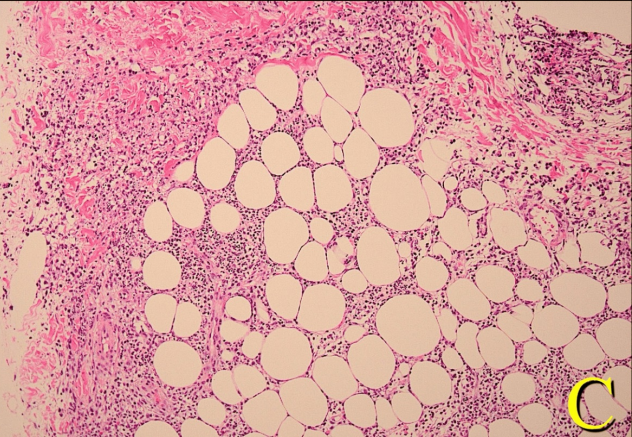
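This is subcutaneous fat with surrounding fibrous septal tissue, heavily infiltrated by inflammatory cells, a picture of septal panniculitis. Much of the field is taken up by adipocytes, seen as empty, rounded clear spaces of varying size separated by thin walls. Pink bands of collagen run along the top and down the left side, bordering the fat. These fibrous areas, and the spaces between the fat cells next to them, are crowded with many small cells with dark purple nuclei. The inflammatory cells are densest in and near the fibrous tissue. They also extend between the adipocytes at the edges of the fat.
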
